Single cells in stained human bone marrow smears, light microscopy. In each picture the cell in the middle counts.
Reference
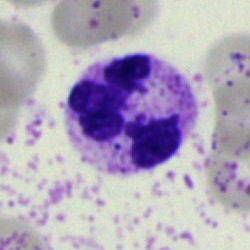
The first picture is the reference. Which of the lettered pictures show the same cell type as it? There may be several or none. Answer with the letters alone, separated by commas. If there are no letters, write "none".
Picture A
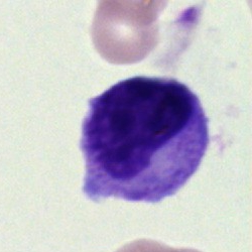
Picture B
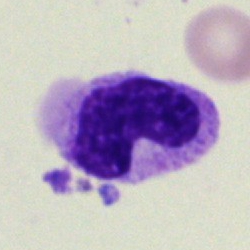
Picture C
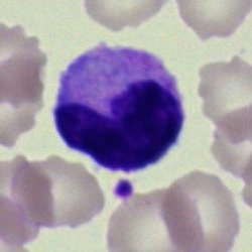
none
